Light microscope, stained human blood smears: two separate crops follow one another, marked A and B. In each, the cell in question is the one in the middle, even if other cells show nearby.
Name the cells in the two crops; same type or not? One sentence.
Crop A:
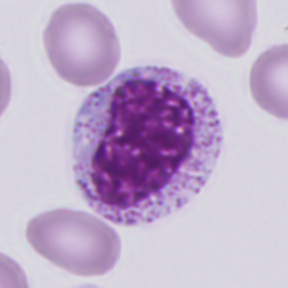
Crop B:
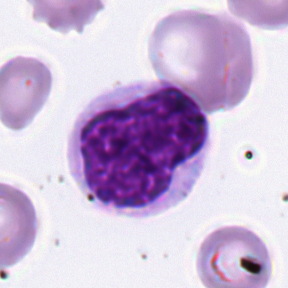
Yes, the cells in the centres of the two crops are metamyelocytes.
